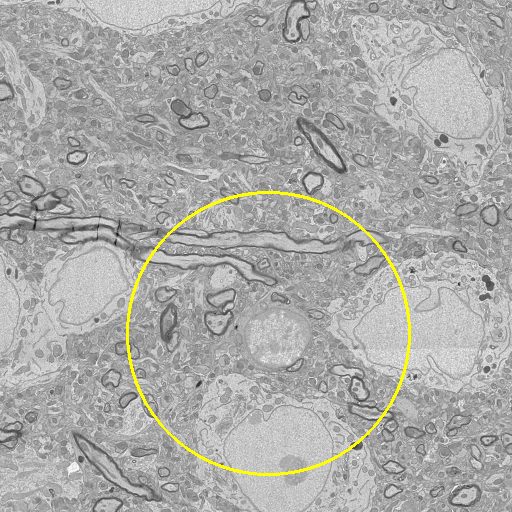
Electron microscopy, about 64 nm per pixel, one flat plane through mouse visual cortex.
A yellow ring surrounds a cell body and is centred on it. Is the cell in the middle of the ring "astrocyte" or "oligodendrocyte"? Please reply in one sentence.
The ring is centred on an oligodendrocyte.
